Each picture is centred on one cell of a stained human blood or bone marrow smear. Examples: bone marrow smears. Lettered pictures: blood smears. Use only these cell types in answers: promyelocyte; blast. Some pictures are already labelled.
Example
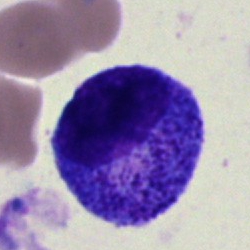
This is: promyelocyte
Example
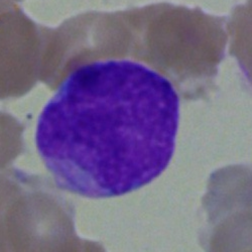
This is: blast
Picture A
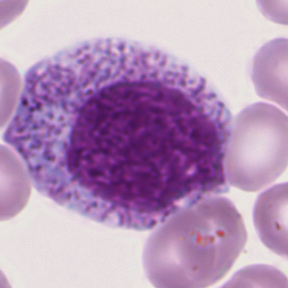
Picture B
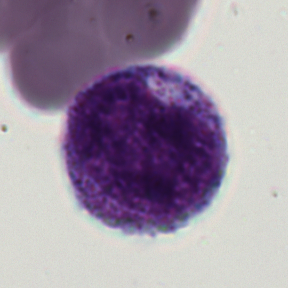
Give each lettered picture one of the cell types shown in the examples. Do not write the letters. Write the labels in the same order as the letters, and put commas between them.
promyelocyte, promyelocyte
